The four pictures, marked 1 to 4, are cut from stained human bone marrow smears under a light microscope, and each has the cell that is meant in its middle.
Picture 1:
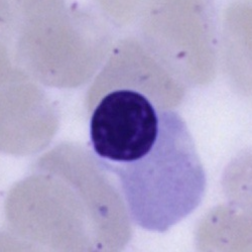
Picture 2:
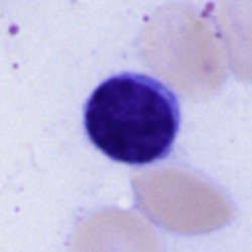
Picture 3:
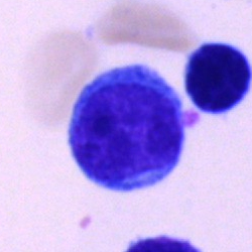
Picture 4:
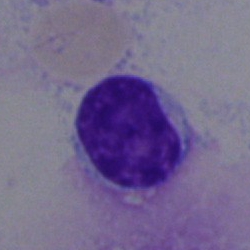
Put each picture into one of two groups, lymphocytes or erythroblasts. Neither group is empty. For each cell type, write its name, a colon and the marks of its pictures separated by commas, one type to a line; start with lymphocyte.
lymphocyte: 2, 3, 4
erythroblast: 1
